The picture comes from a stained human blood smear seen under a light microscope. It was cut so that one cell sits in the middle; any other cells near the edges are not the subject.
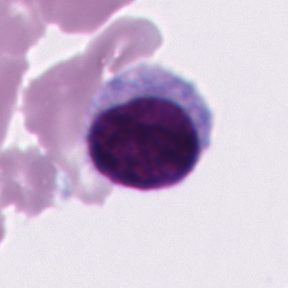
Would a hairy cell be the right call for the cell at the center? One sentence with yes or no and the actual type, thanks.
Yes, this crop has a hairy cell at its centre.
